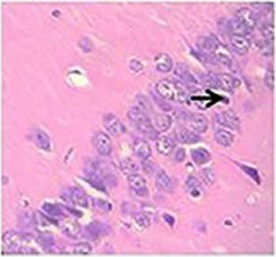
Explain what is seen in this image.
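The pyramidal cell layer of the hippocampus forms a band of closely set neurons in pink neuropil. Most cells have round, pale, vesicular nuclei with a single dark nucleolus and a thin rim of purple cytoplasm. Only occasional cells appear darker and more compact.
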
